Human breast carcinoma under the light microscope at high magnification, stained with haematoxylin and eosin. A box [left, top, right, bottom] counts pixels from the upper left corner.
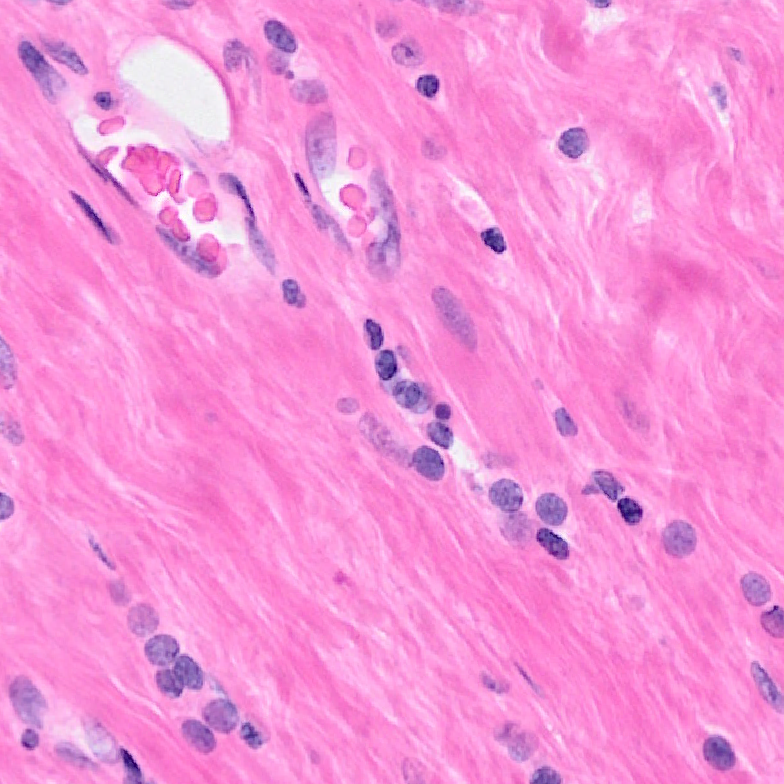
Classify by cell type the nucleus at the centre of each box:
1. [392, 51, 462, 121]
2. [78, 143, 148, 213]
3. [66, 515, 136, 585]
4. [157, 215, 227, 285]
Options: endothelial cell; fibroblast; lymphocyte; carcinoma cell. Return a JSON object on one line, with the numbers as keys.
{"1": "lymphocyte", "2": "endothelial cell", "3": "fibroblast", "4": "endothelial cell"}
